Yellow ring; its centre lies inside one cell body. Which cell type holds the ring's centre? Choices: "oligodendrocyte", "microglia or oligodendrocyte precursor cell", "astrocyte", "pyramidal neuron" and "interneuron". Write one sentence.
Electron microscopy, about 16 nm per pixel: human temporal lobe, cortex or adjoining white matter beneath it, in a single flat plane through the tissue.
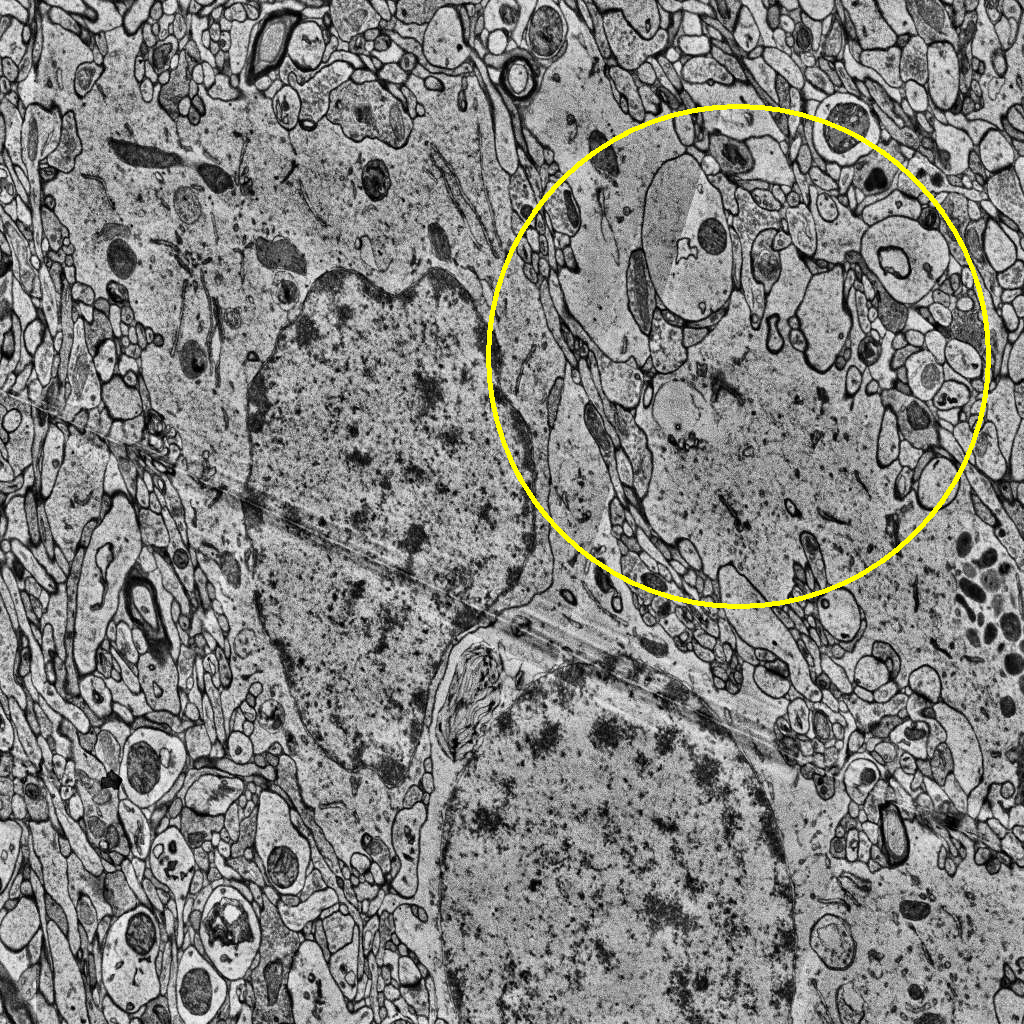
At the centre of the ring sits an astrocyte.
